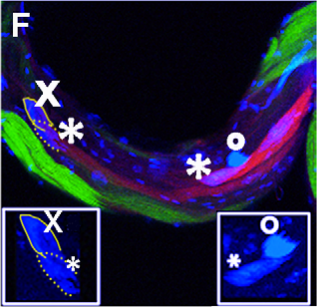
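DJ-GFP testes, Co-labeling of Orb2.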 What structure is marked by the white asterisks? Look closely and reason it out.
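The asterisks lie beside compact elongated blue clusters within the tube. The enlarged insets show these blue clusters.
Answer: nuclear bundle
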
